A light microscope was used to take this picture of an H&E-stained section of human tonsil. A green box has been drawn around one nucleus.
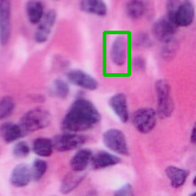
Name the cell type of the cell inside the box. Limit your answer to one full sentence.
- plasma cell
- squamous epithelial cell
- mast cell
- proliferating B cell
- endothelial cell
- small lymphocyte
For the purposes of cell typing, the cell inside the box is categorized as a mast cell.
